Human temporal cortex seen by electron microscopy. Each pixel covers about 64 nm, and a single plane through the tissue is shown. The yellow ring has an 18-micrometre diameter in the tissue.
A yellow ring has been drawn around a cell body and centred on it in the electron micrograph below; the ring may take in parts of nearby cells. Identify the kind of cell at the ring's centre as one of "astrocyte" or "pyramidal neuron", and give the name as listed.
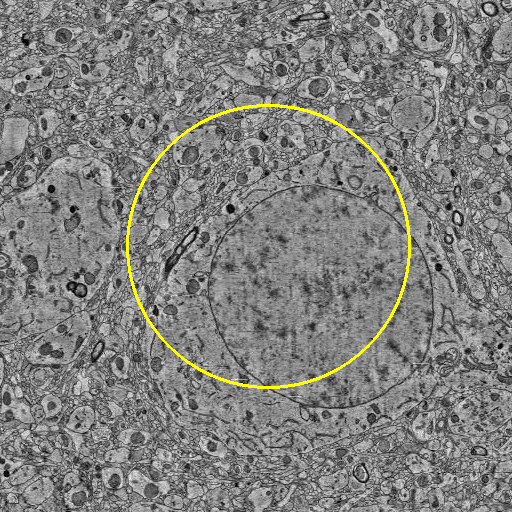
pyramidal neuron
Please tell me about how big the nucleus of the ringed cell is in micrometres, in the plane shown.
About 15 micrometres across in this plane, for the nucleus.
